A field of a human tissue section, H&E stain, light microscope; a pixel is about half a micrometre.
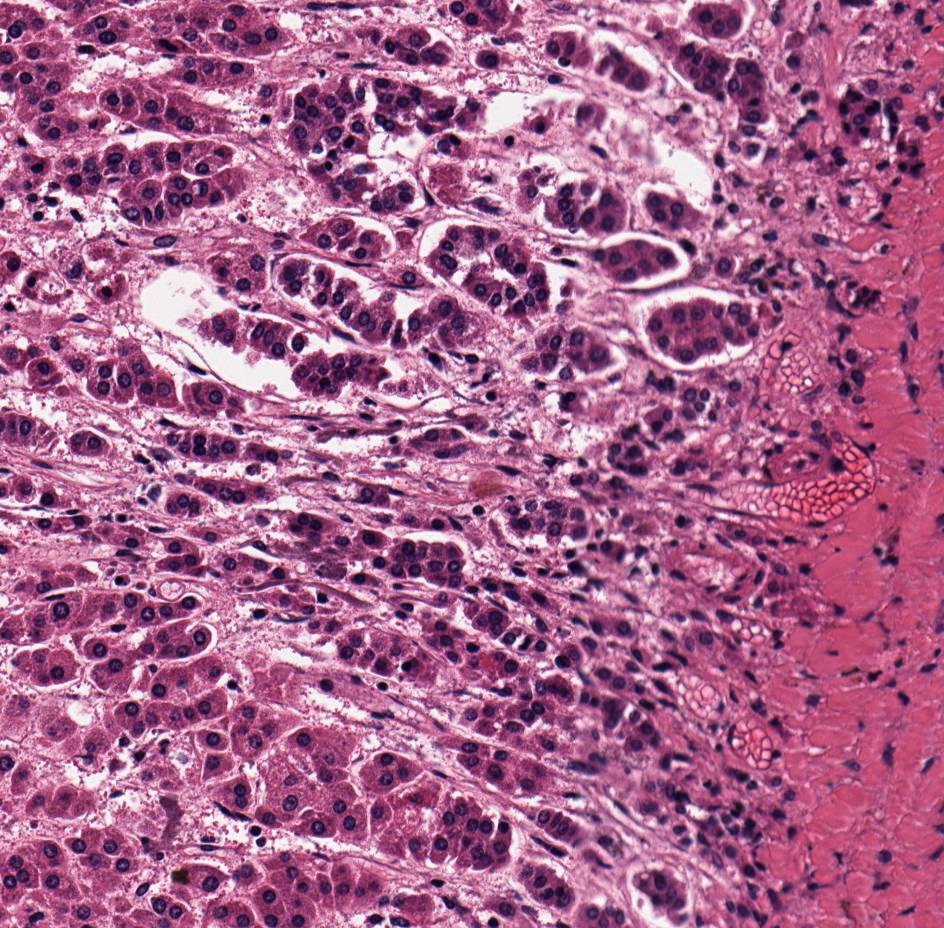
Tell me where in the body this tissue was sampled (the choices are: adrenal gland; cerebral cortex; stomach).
adrenal gland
